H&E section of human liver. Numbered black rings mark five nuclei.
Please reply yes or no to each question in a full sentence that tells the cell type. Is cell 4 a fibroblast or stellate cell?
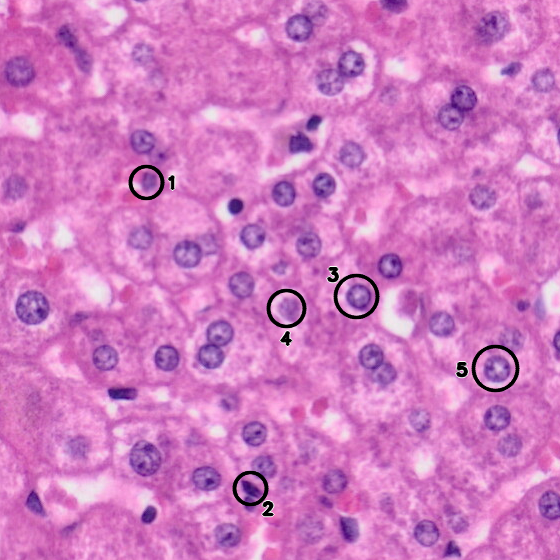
No, what is marked as number 4 is a hepatocyte rather than a fibroblast or stellate cell.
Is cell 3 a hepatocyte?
Yes, the cell whose nucleus carries number 3 is a hepatocyte.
